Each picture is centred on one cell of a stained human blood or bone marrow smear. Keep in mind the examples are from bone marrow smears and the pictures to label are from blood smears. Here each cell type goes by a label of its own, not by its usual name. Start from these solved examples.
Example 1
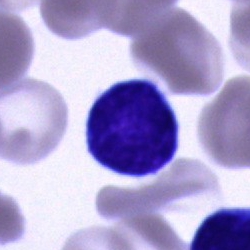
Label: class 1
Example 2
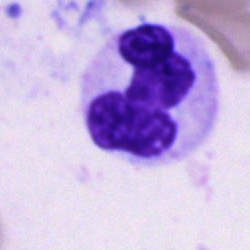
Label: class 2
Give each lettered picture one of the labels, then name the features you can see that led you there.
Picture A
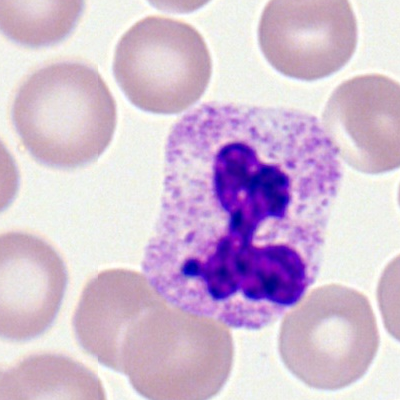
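Label: class 2. The cytoplasm is plentiful and pale pinkish-lilac.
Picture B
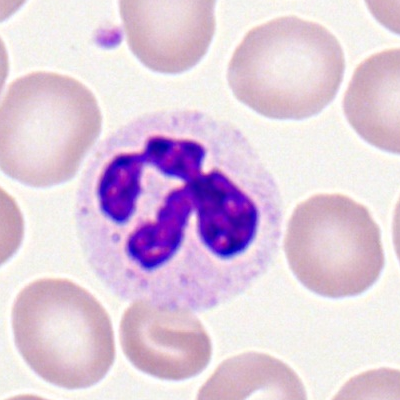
Label: class 2. The cytoplasm is abundant and pale pinkish-lilac.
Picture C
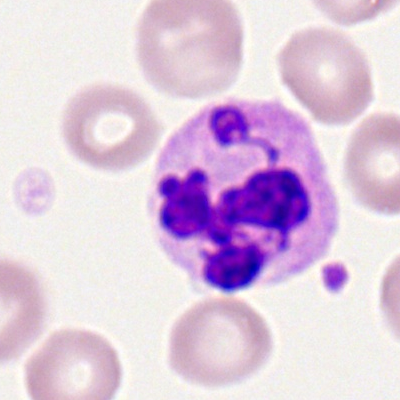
Label: class 2. The nucleus is divided into several separate lobes.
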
